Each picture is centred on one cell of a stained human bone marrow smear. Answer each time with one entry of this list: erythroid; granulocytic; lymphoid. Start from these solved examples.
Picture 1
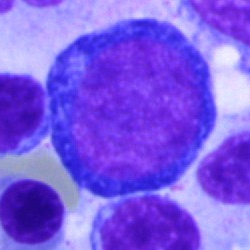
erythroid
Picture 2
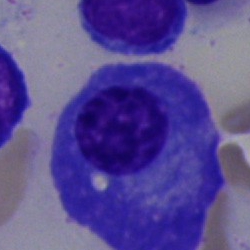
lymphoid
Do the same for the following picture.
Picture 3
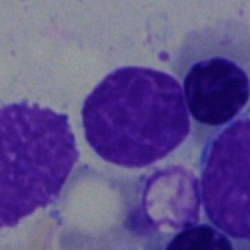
lymphoid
